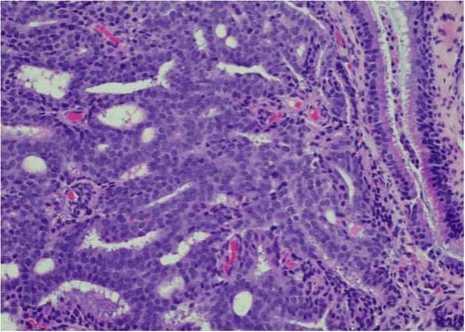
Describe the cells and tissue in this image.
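This is respiratory mucosa with an infiltrating glandular tumour. Along the right edge runs the surface lining: tall columnar cells with a fringed luminal border and nuclei stacked in several rows. Most of the field is taken up by sheets of closely packed, fairly uniform tumour cells with rounded purple nuclei. The sheets are pierced by many small round and elongated empty spaces, giving a sieve-like, cribriform pattern. Thin strands of stroma carrying small vessels filled with red blood cells run between the tumour sheets.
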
